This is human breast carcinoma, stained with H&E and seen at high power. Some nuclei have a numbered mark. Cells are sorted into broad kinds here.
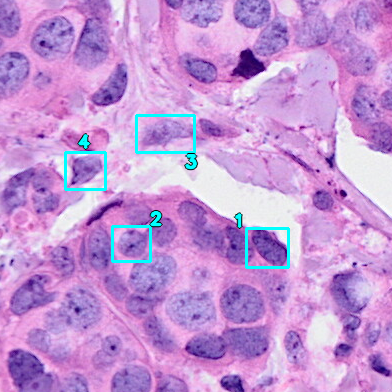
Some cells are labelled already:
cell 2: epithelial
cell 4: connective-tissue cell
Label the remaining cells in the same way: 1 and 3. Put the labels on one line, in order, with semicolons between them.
epithelial; connective-tissue cell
